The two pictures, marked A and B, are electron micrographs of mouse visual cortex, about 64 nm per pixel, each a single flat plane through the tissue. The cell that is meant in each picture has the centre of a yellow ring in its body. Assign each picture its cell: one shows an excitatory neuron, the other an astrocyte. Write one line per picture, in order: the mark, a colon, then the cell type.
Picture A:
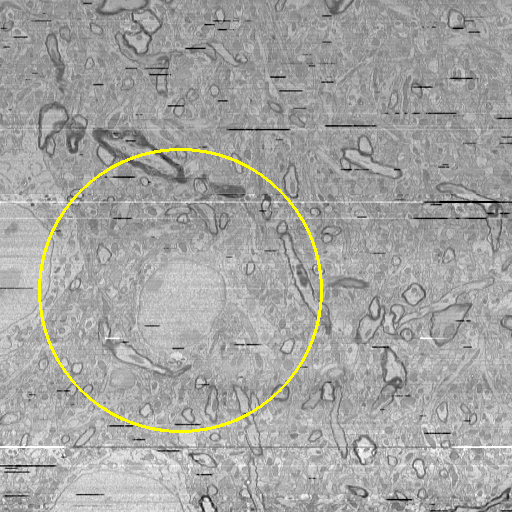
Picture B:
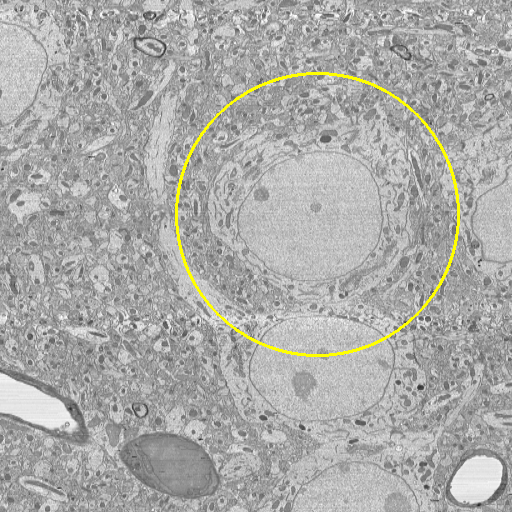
A: astrocyte
B: excitatory neuron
